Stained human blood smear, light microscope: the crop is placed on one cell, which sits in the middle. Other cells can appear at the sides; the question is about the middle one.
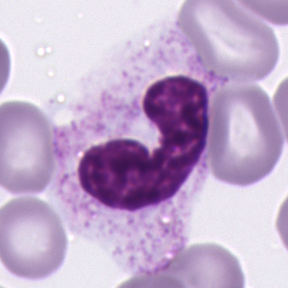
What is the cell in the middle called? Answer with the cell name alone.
band neutrophil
